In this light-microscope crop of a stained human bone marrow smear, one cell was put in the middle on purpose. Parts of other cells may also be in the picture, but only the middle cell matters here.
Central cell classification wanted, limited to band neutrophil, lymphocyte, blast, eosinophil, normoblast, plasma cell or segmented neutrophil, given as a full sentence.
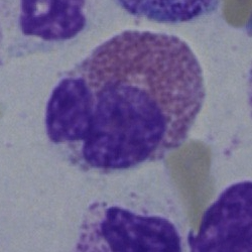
Seen at the centre of the crop is an eosinophil.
